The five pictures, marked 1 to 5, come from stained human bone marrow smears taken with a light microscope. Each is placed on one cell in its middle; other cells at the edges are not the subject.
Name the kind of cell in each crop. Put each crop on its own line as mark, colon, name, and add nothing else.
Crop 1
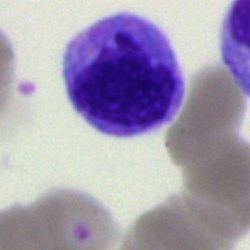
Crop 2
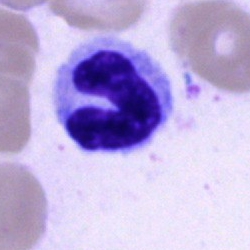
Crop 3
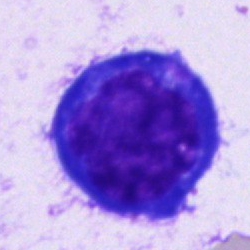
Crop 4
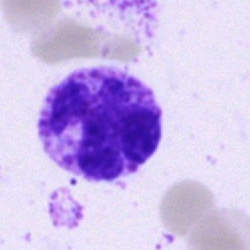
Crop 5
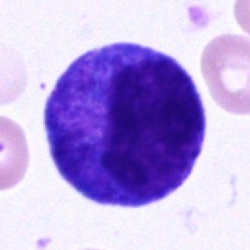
1: monocyte
2: band neutrophil
3: proerythroblast
4: basophil
5: promyelocyte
